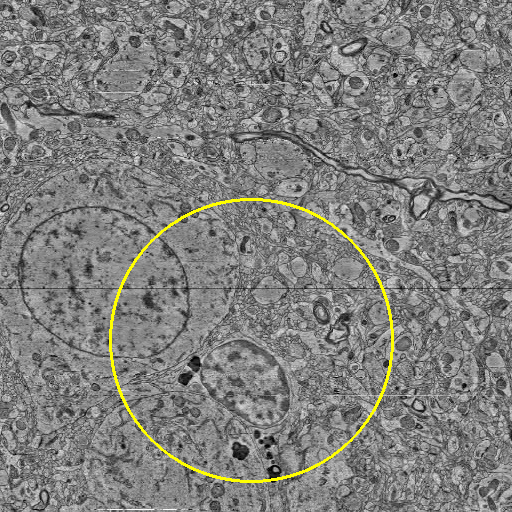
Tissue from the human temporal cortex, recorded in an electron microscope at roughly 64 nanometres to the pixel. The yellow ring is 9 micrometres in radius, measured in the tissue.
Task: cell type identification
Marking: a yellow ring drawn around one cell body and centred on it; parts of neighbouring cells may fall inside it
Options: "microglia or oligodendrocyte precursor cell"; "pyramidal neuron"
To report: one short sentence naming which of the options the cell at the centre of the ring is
The cell at the centre of the ring is a microglial cell or oligodendrocyte precursor cell.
